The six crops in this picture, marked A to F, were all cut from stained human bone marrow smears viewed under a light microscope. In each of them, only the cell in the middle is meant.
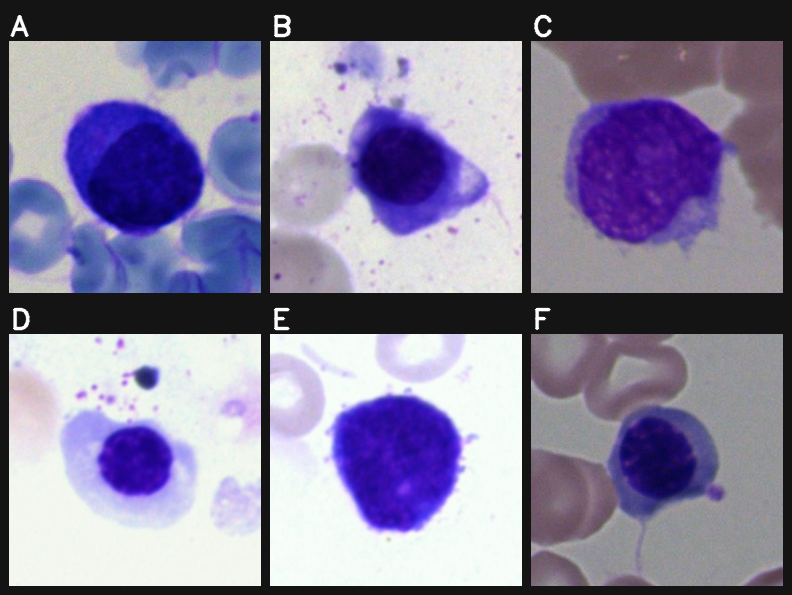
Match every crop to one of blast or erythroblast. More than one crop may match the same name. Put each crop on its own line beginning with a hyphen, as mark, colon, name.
- A: blast
- B: erythroblast
- C: blast
- D: erythroblast
- E: blast
- F: erythroblast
